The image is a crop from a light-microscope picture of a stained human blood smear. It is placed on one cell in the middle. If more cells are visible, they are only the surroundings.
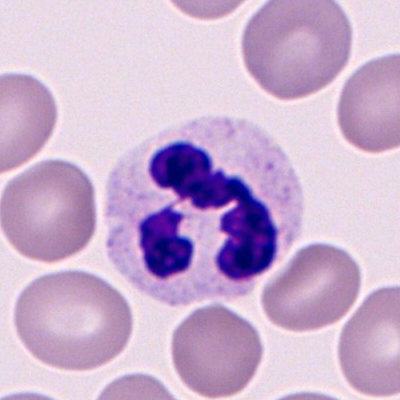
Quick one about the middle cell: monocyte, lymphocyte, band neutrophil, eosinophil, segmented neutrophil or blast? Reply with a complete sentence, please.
Centred in the crop is a segmented neutrophil.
